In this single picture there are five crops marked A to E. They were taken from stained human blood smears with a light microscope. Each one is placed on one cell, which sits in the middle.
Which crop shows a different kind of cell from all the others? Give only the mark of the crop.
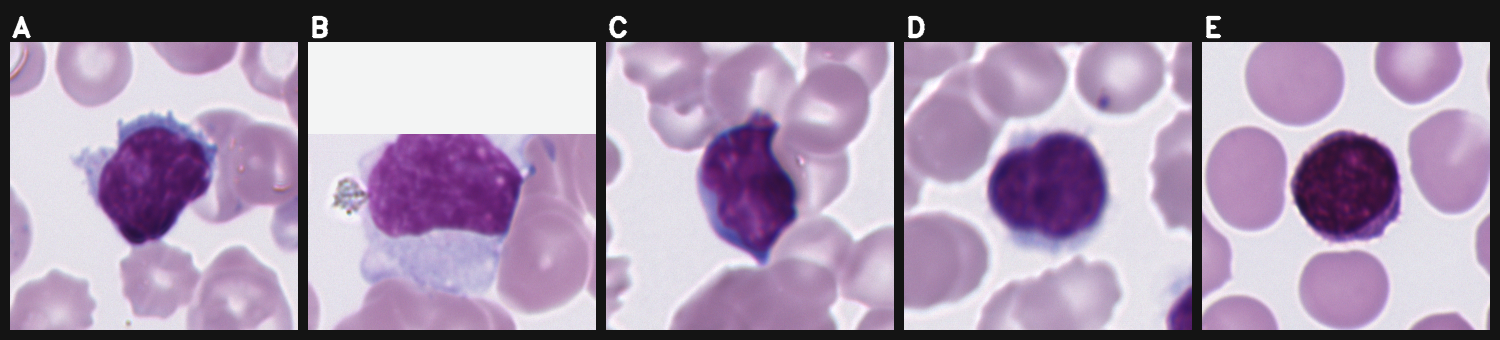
D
